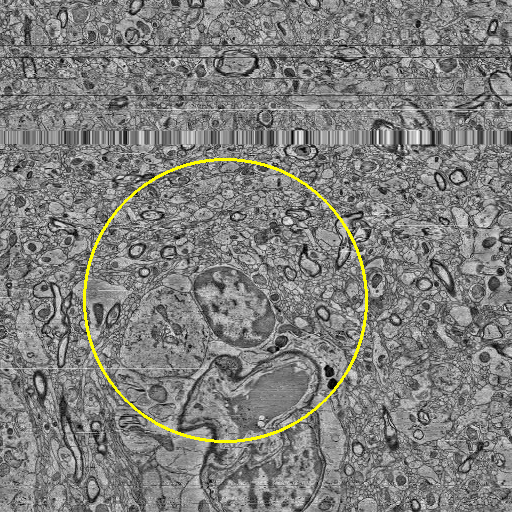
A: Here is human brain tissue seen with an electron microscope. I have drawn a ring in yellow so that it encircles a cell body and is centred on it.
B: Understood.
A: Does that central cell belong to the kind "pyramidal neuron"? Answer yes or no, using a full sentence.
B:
No, the central cell inside your yellow ring belongs to another kind.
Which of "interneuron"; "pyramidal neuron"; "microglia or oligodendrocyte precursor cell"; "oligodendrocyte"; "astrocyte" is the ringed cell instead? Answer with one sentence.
At the centre of the ring sits a microglial cell or oligodendrocyte precursor cell.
